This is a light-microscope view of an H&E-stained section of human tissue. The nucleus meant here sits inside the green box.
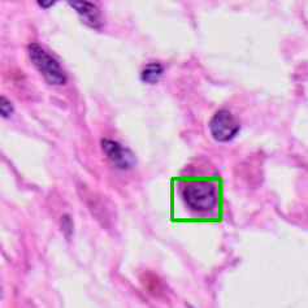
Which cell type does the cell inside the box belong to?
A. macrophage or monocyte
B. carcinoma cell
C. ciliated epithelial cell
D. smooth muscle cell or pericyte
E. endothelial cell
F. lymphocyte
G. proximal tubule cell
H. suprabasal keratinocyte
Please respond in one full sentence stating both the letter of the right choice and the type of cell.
Under option A, the cell inside the box is listed as a macrophage or monocyte, which is correct.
